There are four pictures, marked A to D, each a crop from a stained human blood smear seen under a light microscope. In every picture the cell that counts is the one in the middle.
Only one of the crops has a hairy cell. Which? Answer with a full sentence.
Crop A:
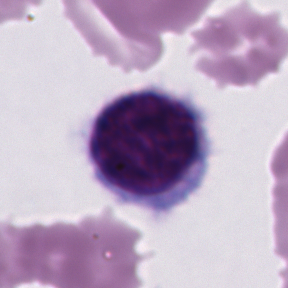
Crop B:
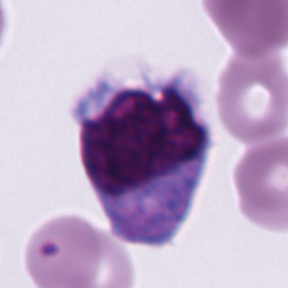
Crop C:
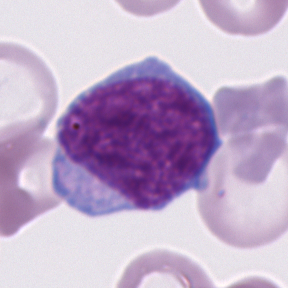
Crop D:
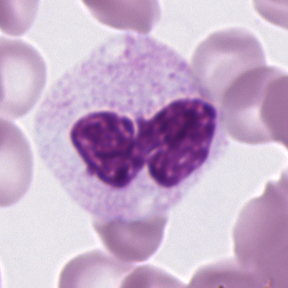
Among the crops provided, a hairy cell occupies the center of crop A.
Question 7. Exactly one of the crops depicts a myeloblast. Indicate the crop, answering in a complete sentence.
It is the cell in crop C that is a myeloblast.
